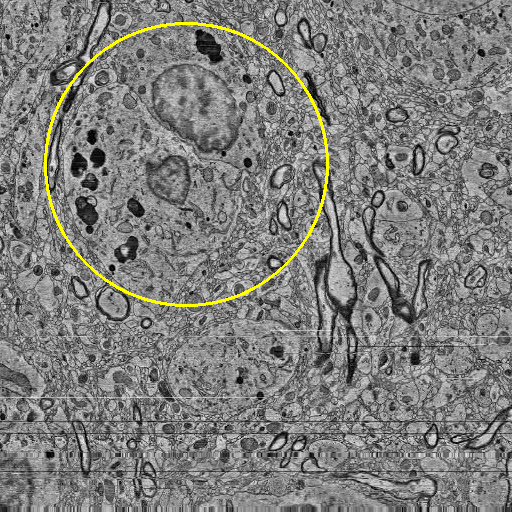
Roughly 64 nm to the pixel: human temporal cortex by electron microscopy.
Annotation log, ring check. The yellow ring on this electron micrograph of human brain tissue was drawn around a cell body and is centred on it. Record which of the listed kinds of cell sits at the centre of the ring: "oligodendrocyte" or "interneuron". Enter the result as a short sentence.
The cell at the centre of the ring is an oligodendrocyte.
